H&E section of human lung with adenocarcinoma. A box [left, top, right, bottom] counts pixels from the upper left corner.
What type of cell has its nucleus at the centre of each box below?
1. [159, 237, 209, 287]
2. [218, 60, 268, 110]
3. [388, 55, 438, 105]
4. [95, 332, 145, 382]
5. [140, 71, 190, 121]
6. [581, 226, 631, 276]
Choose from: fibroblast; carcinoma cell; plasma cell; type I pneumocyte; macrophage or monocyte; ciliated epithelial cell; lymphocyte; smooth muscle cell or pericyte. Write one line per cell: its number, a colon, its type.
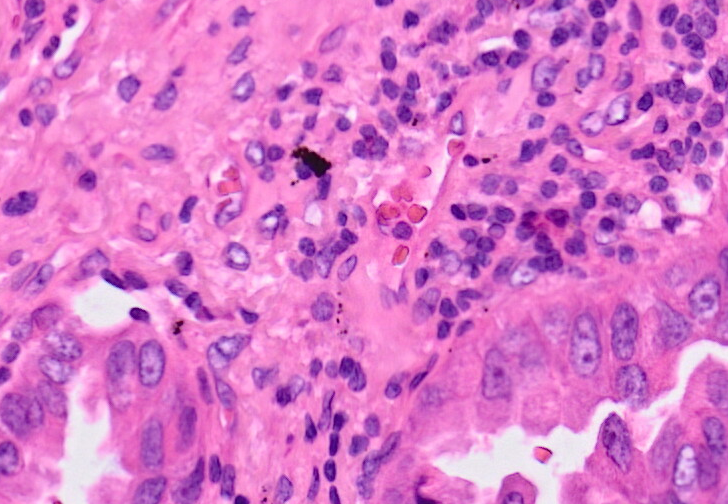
1: lymphocyte
2: fibroblast
3: lymphocyte
4: carcinoma cell
5: fibroblast
6: lymphocyte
